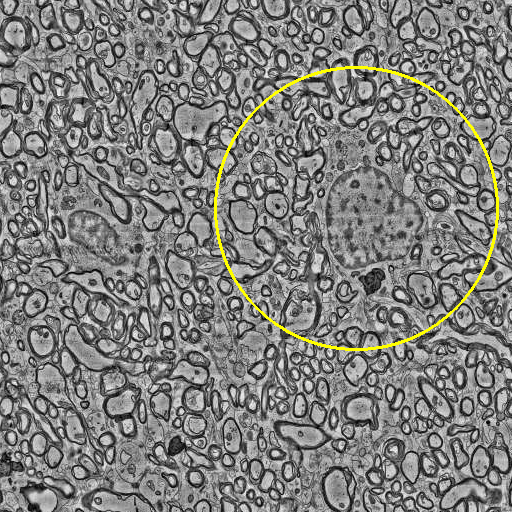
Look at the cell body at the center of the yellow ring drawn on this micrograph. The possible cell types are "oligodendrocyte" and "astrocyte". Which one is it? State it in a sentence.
The cell in the middle of the ring is an oligodendrocyte.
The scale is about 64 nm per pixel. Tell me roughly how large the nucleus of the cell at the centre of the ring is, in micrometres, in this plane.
In this plane, the nucleus of the cell at the centre of the ring is about 6 micrometres across.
